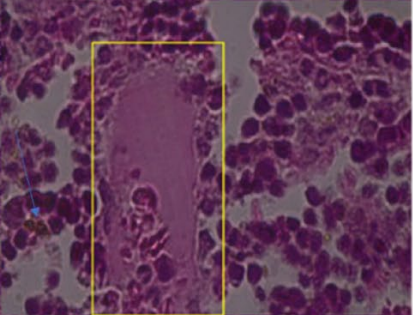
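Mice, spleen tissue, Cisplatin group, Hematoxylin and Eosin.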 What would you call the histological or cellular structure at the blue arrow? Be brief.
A: Hemosiderin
